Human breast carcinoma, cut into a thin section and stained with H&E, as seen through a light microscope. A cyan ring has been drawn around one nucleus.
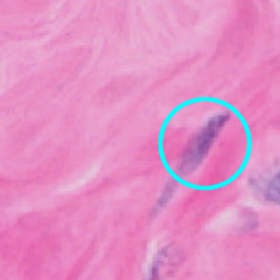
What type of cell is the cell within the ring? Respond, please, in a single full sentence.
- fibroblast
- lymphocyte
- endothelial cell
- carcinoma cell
The cell type of the cell within the ring is that of a fibroblast.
